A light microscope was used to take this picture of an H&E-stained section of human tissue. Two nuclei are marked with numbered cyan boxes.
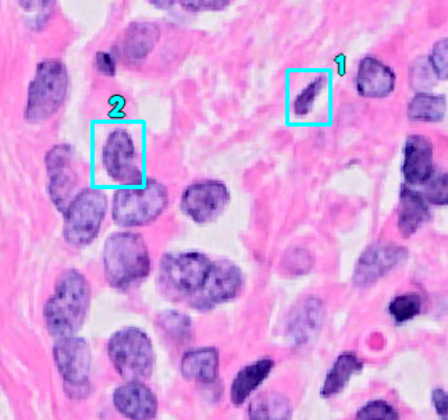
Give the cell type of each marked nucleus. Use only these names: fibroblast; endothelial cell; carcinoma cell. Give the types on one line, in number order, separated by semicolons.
fibroblast; carcinoma cell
